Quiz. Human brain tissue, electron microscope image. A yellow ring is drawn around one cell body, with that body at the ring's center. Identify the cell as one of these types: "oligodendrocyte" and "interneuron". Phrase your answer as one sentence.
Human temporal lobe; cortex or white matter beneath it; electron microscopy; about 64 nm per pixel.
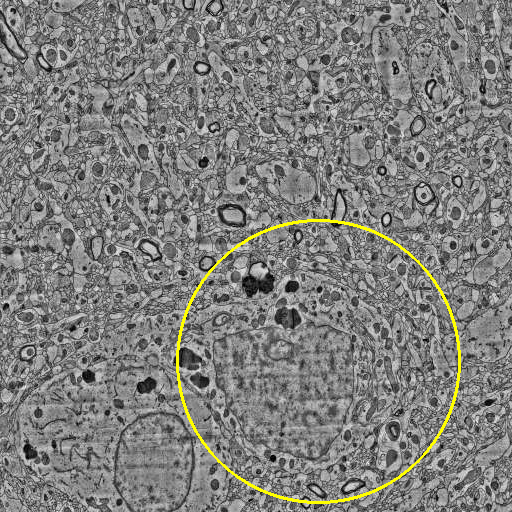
At the center of the ring sits an interneuron.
